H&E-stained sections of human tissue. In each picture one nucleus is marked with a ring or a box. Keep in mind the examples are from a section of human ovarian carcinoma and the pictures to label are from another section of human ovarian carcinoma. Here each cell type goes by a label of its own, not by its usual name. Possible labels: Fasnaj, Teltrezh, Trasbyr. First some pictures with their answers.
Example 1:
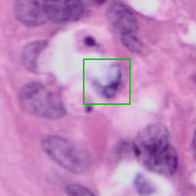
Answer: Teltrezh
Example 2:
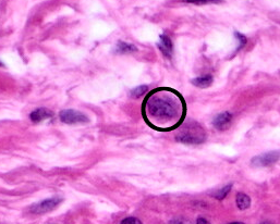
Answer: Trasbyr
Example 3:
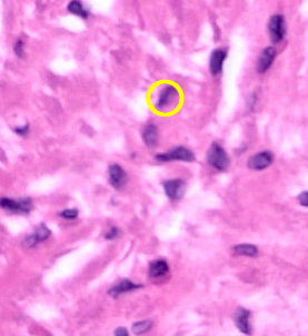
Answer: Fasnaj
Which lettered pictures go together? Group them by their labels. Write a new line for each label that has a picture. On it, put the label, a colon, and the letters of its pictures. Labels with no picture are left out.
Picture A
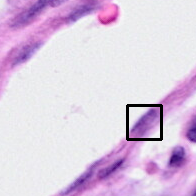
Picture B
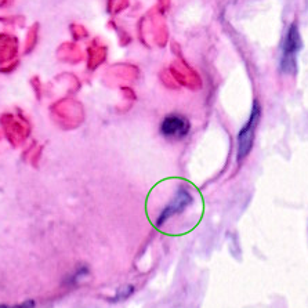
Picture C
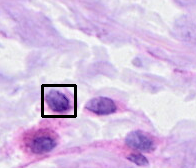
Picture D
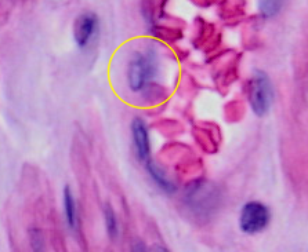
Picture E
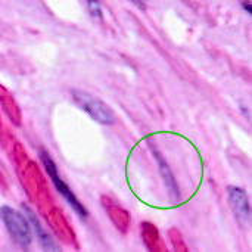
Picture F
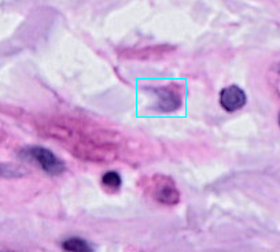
Fasnaj: E, F
Teltrezh: C
Trasbyr: A, B, D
